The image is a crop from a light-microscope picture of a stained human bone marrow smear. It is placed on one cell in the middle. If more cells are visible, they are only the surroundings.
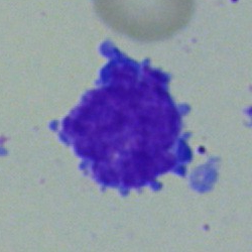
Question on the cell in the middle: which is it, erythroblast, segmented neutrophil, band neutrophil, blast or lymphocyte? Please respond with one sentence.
The middle of this crop is occupied by a blast.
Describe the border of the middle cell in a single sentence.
No smooth contour is present; the border is ragged or extended into projections.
